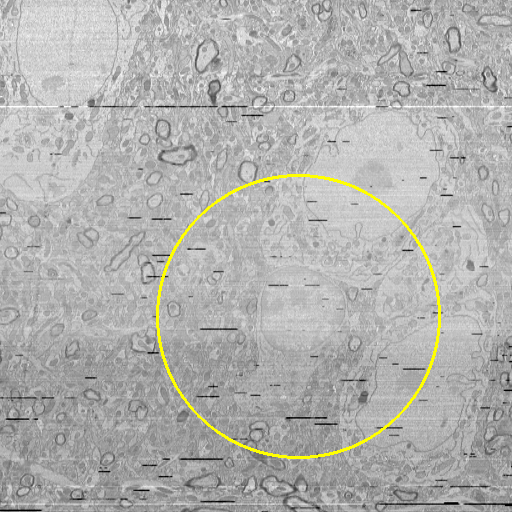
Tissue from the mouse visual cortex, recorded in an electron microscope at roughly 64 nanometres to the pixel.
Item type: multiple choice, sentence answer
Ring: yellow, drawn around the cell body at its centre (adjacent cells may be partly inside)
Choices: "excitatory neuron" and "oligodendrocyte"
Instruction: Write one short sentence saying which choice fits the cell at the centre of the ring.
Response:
This ring is drawn around an oligodendrocyte.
